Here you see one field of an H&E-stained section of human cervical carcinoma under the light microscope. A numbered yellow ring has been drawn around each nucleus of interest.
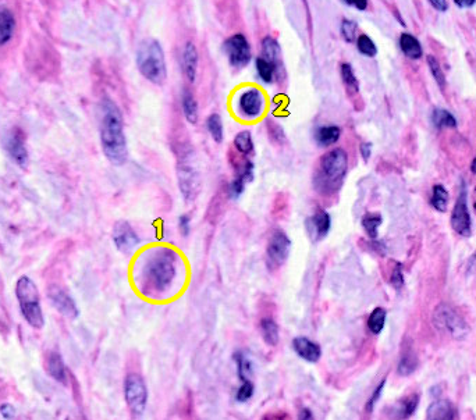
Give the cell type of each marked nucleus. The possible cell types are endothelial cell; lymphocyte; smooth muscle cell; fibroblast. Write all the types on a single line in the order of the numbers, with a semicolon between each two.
fibroblast; lymphocyte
